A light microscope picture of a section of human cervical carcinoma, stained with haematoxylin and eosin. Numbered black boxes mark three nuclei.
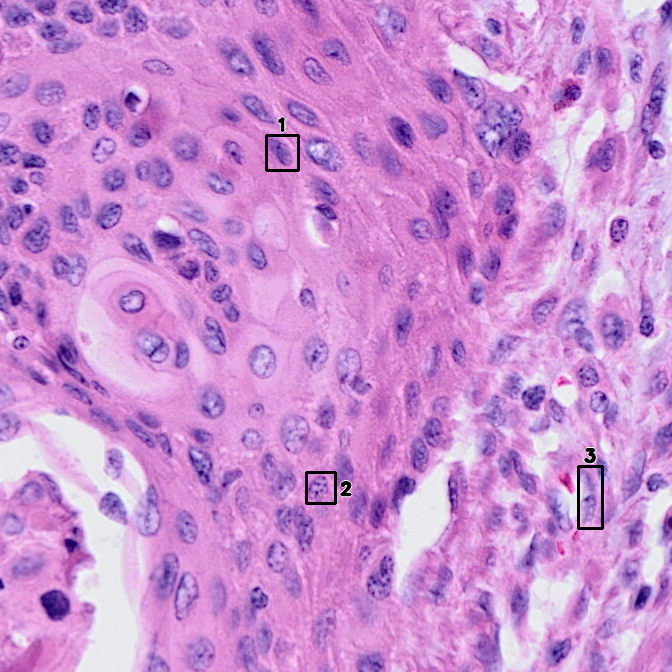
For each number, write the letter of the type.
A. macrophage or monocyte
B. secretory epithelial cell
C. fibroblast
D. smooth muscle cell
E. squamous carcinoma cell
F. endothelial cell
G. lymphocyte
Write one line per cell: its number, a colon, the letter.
1: E
2: E
3: F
